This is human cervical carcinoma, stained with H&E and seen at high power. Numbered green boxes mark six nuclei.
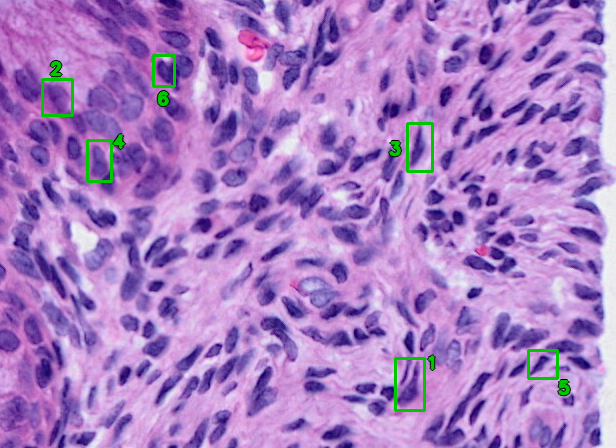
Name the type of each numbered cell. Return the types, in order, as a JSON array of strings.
["fibroblast", "secretory epithelial cell", "fibroblast", "secretory epithelial cell", "fibroblast", "secretory epithelial cell"]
